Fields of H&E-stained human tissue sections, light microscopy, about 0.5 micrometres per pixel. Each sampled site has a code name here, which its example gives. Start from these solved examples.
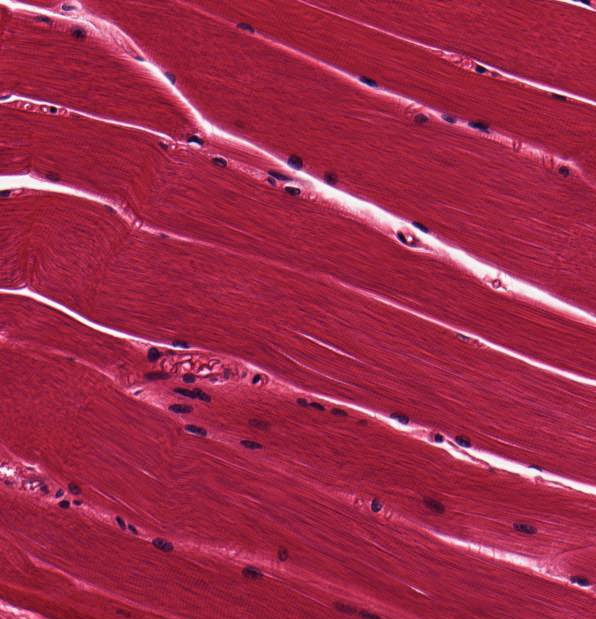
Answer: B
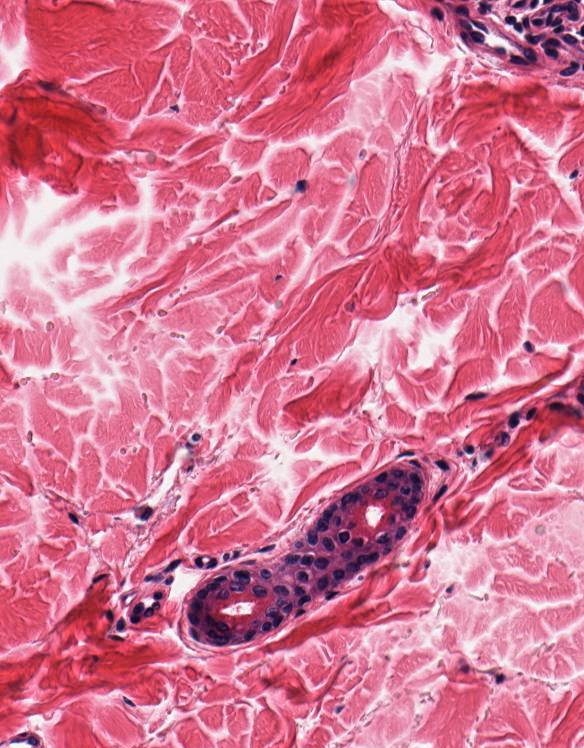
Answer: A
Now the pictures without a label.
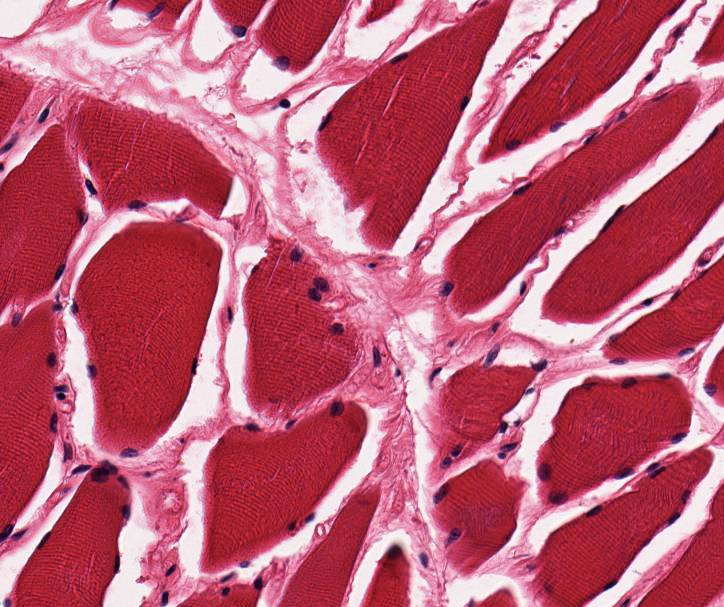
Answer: B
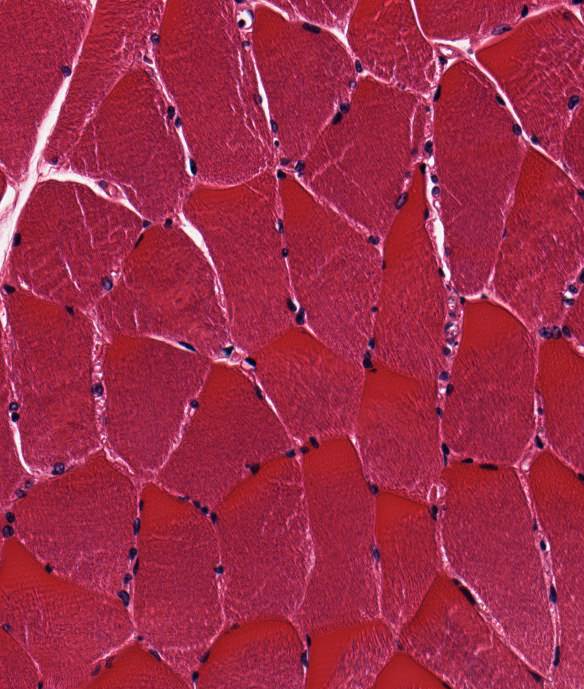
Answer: B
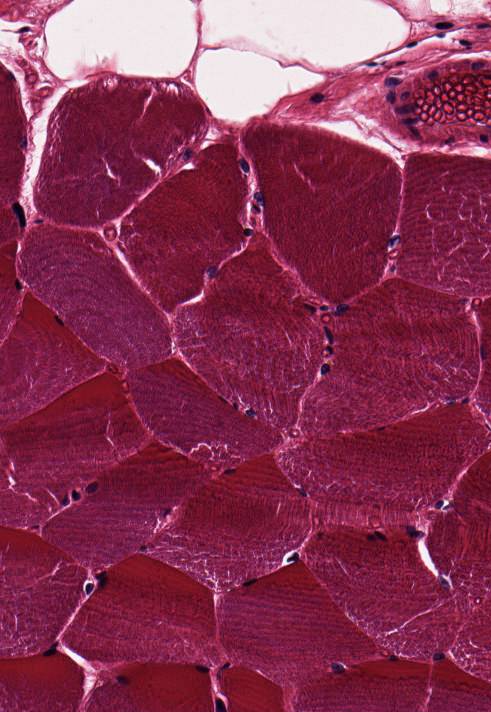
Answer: B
